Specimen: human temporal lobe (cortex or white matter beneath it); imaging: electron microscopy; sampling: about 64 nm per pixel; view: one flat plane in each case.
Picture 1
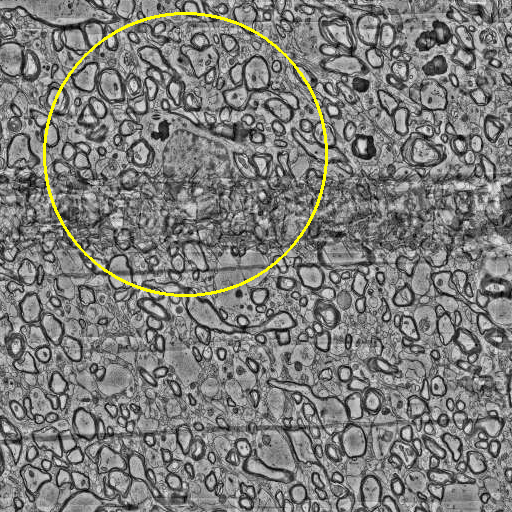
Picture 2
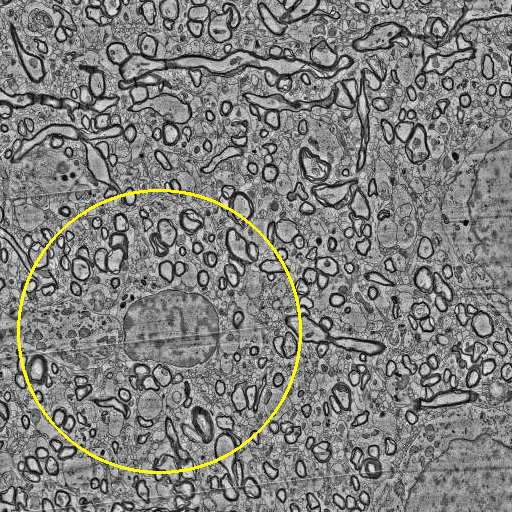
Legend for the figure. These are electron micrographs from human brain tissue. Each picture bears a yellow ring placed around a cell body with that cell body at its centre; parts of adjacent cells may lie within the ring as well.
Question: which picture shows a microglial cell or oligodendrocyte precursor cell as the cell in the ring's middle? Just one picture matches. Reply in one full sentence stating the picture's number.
It is picture 2 whose yellow ring is centred on the requested cell.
